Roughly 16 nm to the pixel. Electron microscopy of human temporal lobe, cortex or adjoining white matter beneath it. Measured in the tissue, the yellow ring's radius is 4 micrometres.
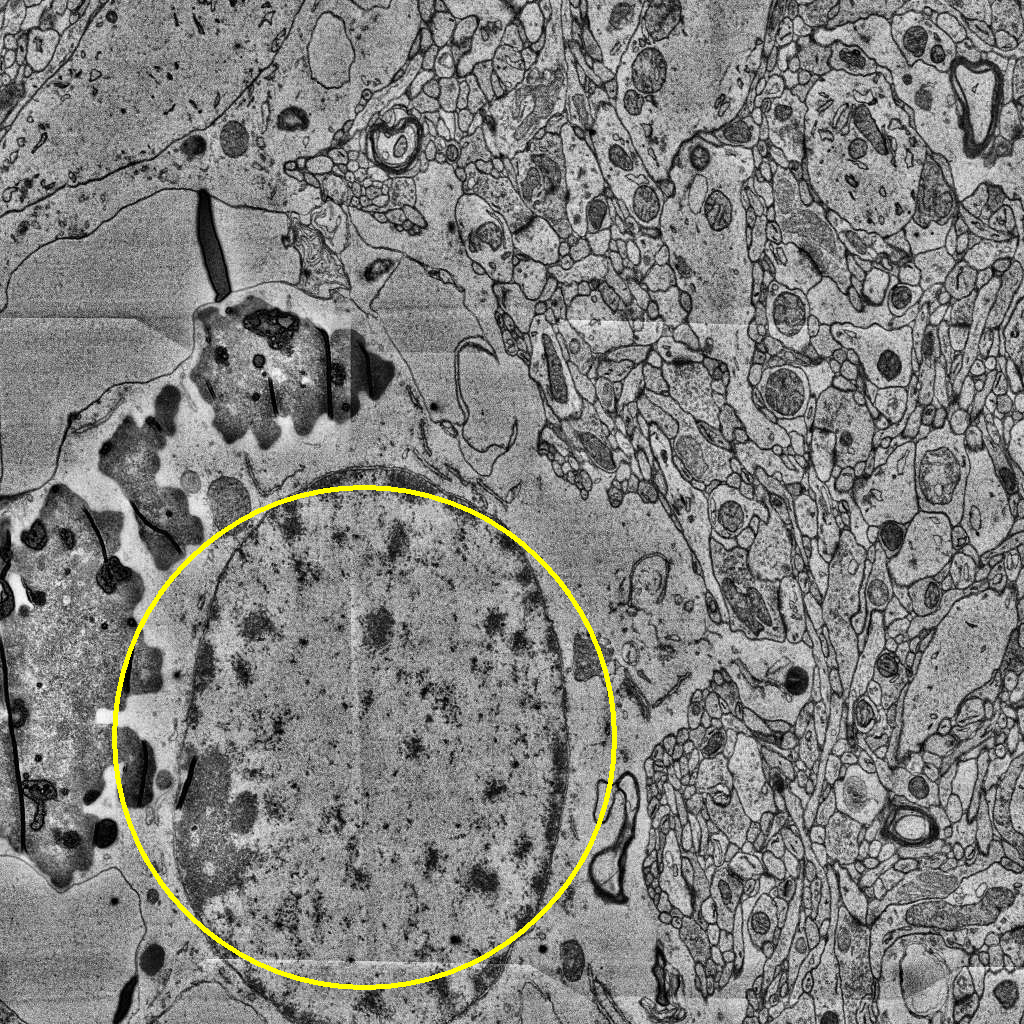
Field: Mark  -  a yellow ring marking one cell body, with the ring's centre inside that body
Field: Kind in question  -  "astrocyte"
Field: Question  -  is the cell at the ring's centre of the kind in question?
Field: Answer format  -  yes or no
yes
